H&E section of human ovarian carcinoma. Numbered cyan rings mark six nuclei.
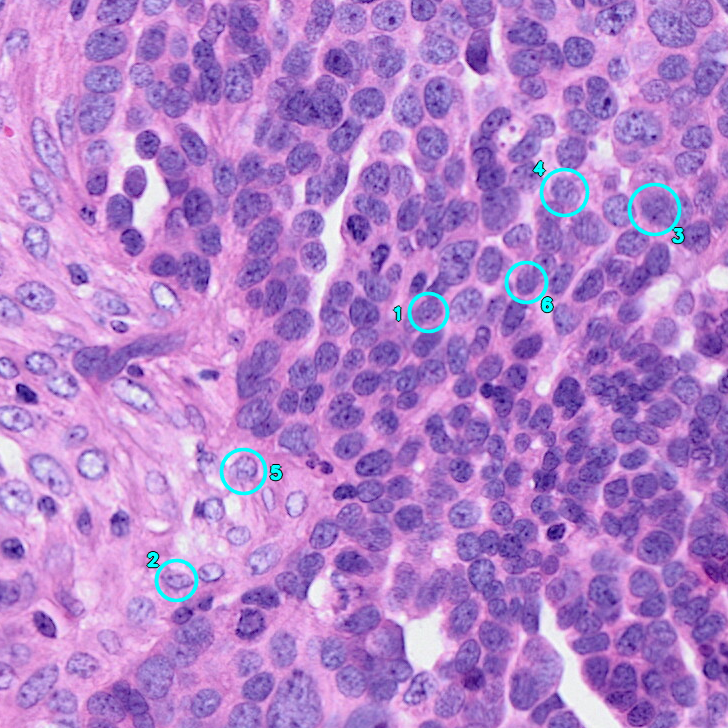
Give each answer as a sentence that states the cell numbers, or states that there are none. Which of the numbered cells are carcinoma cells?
The cells referred to by the numbers 1, 3, 4 and 6 are carcinoma cells.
